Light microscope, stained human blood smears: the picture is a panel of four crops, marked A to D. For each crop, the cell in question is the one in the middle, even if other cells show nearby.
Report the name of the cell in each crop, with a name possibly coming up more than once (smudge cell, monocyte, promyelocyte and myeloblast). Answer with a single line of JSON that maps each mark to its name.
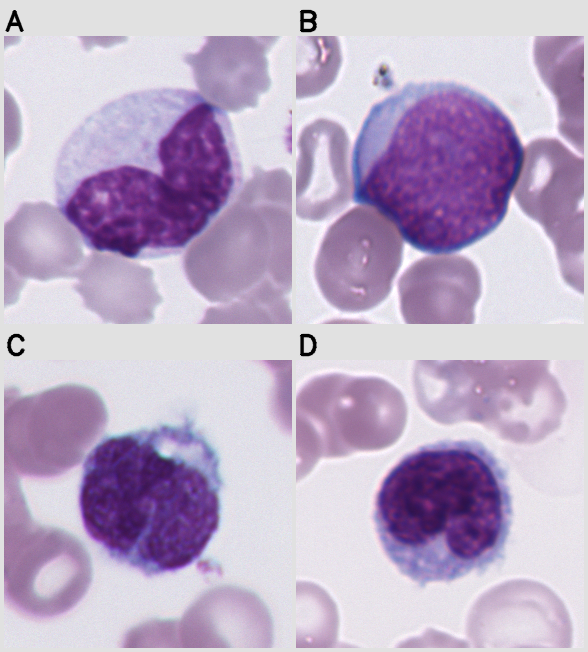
{"A": "monocyte", "B": "myeloblast", "C": "monocyte", "D": "monocyte"}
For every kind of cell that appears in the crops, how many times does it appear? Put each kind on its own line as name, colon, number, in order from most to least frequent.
monocyte: 3
myeloblast: 1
